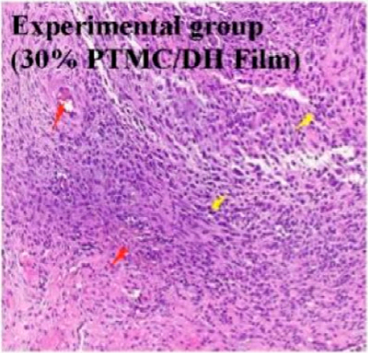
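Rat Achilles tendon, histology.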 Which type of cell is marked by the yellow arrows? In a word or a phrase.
Inflammatory cells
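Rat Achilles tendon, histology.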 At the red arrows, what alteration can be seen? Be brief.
Neovascularization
